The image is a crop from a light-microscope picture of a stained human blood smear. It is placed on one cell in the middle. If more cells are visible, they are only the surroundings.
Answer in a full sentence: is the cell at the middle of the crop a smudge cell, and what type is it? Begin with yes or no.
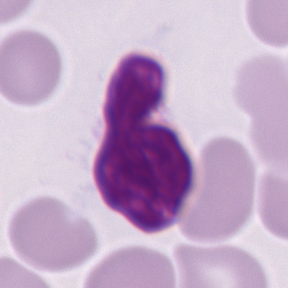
Yes, in this crop the cell in the middle is a smudge cell.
